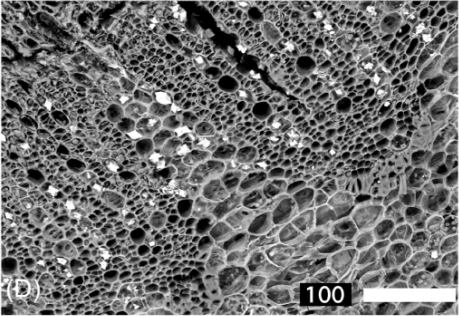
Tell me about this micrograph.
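Densely packed cells have grey walls and dark, empty lumens. In the upper part small thick-walled cells with rounded lumens dominate, with larger rounded openings scattered among them, and radial rows of cells run through this region. Toward the lower right the cells become larger, thinner-walled and polygonal. Numerous small bright white angular particles lie within cells, mostly in the upper and middle part of the field. A dark crack crosses the top of the field.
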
